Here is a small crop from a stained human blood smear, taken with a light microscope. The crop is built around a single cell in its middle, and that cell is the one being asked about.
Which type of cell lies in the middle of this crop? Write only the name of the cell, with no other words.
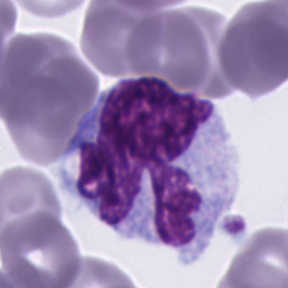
monocyte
